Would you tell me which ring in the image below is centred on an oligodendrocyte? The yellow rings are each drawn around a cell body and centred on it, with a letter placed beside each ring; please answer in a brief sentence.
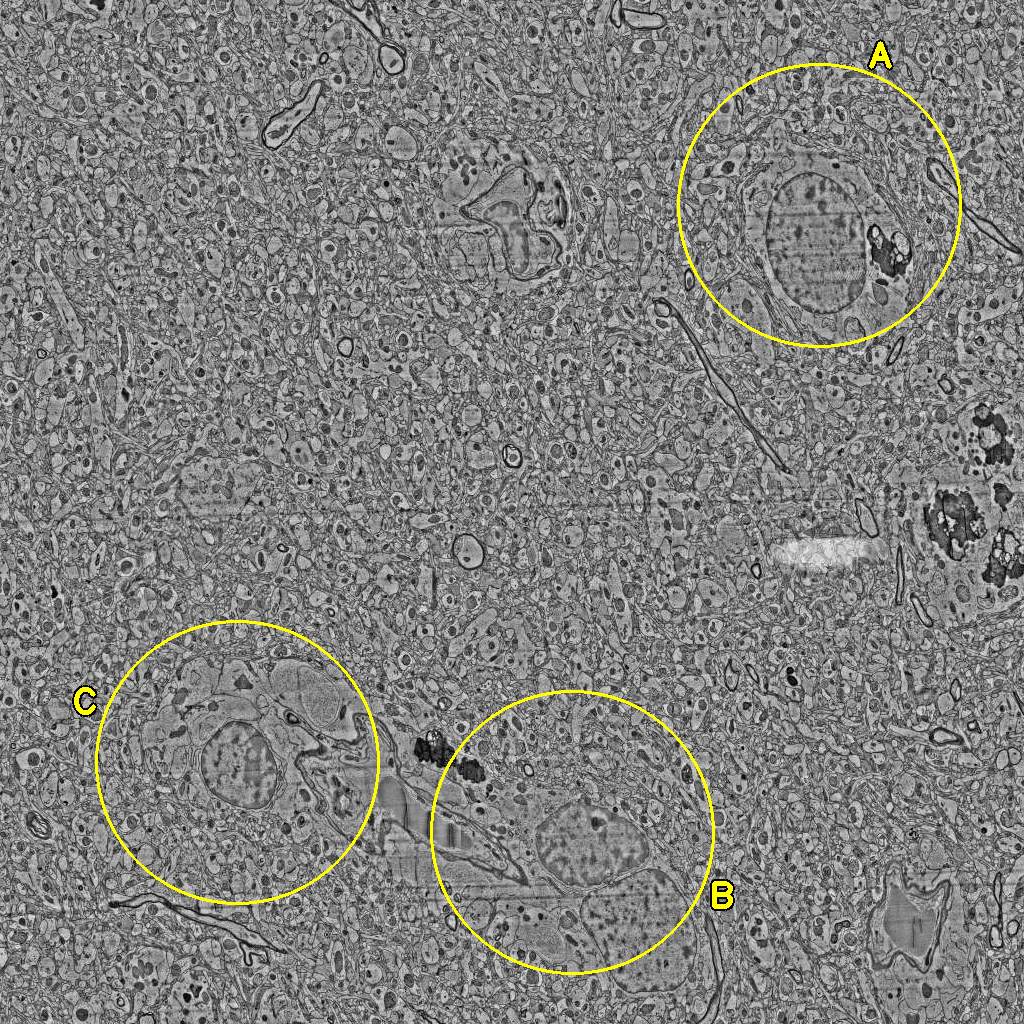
Ring B is centred on it.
